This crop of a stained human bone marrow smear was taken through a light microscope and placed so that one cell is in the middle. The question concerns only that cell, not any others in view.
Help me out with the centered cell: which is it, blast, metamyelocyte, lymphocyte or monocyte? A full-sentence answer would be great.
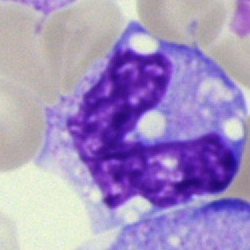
The cell in the middle of this crop is a monocyte.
